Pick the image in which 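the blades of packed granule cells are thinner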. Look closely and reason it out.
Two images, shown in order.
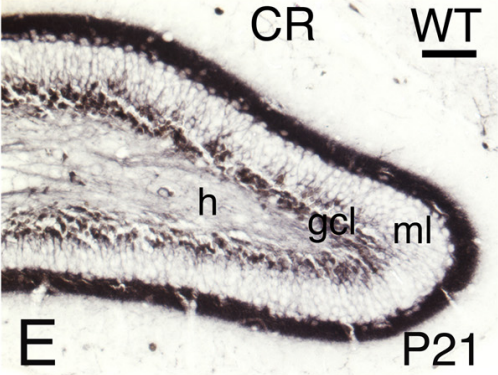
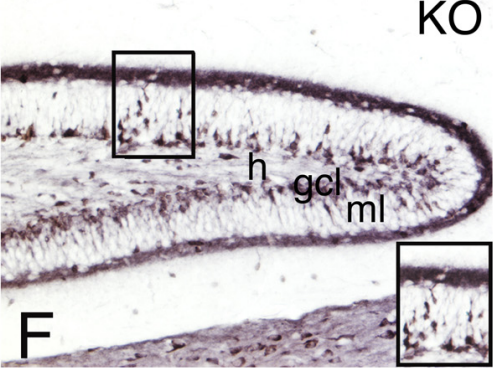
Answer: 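Second image: the pale packed cell layers of both blades are narrow bands. First image: the packed cell layer forms a broad, thick U-shaped fold.
Hence: the second image.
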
